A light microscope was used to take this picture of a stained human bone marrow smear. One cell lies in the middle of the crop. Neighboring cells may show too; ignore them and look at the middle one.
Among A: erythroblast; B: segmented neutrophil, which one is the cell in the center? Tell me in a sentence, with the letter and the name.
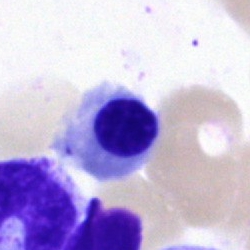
The cell centered in the crop is an erythroblast, making option A the correct pick.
